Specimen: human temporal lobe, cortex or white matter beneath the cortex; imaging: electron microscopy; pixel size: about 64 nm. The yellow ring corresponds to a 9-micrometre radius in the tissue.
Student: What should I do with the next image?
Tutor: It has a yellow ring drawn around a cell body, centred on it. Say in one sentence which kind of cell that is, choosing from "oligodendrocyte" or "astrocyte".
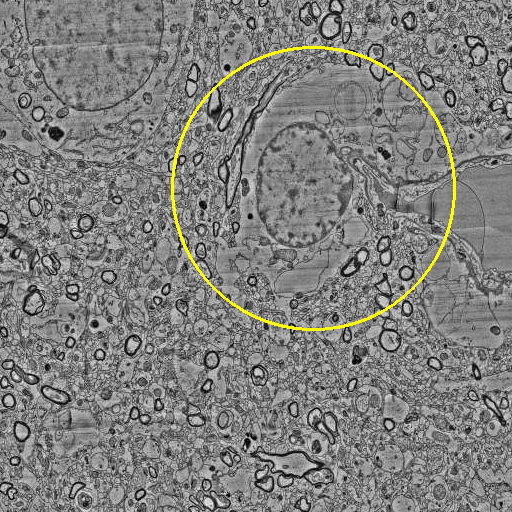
The ring's centre is occupied by an astrocyte.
